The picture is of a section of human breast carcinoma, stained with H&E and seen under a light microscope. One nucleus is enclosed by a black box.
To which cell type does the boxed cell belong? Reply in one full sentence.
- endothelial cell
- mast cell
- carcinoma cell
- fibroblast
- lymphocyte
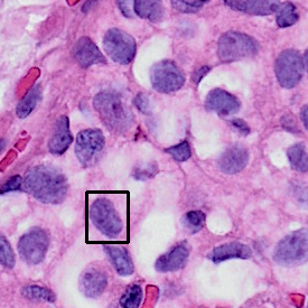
As classified here, the boxed cell is a carcinoma cell.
